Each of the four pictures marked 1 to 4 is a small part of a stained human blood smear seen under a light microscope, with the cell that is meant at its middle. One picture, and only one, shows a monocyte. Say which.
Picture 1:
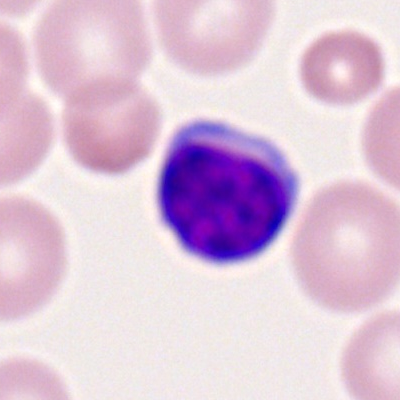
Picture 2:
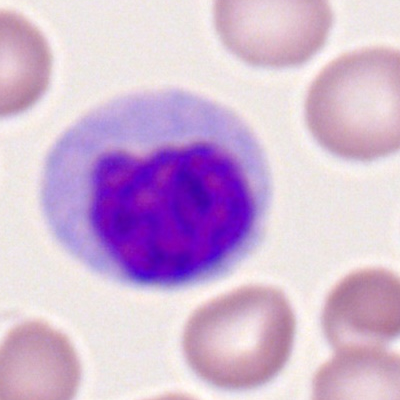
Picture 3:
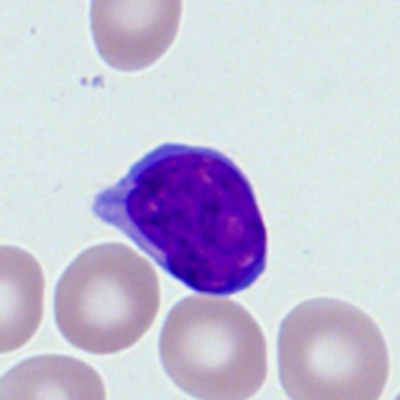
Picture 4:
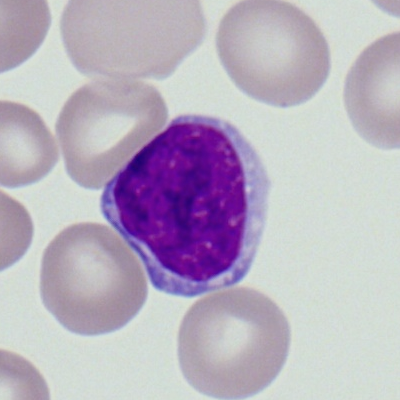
2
